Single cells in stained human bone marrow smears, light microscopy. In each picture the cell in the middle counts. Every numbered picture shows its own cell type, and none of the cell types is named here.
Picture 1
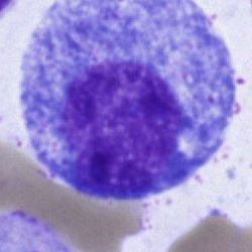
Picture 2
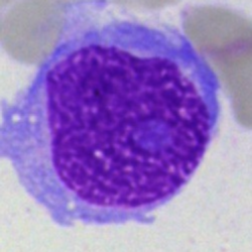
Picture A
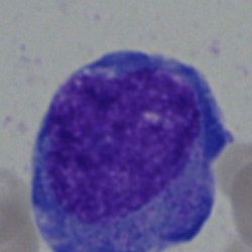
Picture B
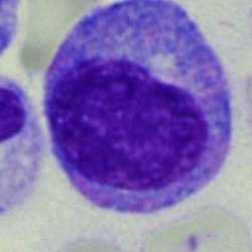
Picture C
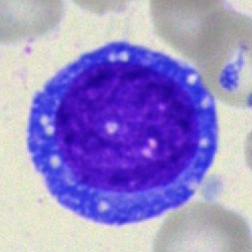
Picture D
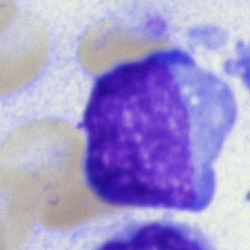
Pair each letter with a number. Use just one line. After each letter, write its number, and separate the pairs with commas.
A 2, B 1, C 2, D 2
